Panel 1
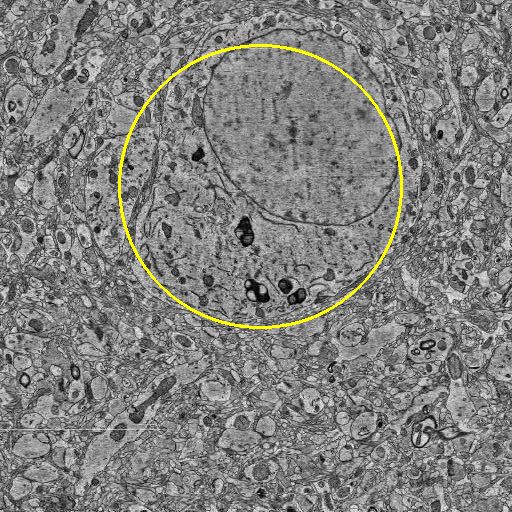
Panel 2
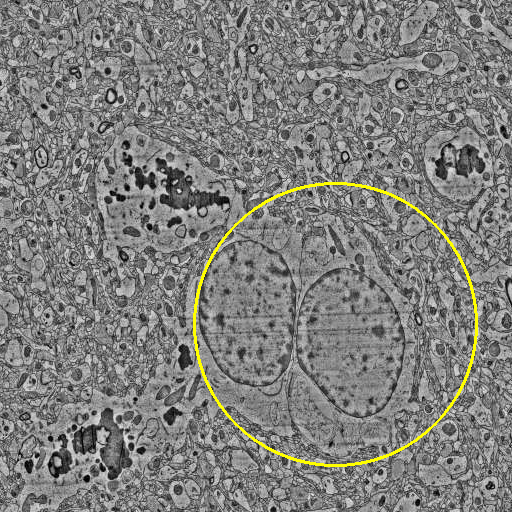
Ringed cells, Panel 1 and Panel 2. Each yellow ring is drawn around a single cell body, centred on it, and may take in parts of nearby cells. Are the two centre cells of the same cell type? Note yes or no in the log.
no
